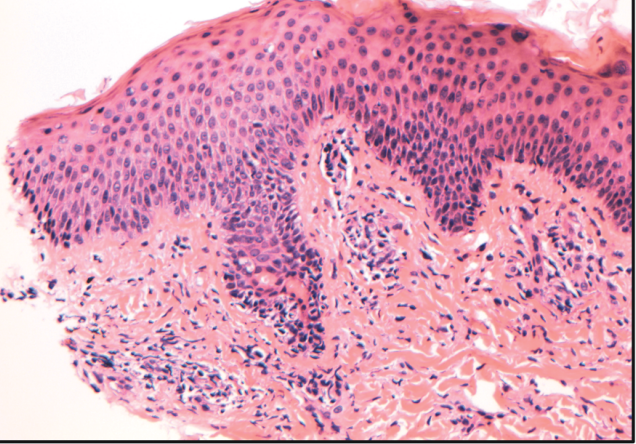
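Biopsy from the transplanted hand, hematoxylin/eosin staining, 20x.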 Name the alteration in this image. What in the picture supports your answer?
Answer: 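Small dark round nuclei crowd the lower epidermis at the junction with the dermis. Dense clusters of small dark cells lie in the upper dermis beneath the epidermis.
Conclusion: lymphocyte exocytosis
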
